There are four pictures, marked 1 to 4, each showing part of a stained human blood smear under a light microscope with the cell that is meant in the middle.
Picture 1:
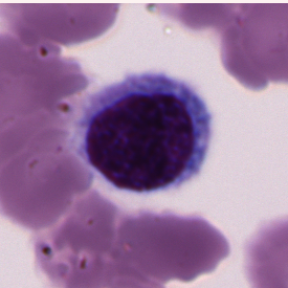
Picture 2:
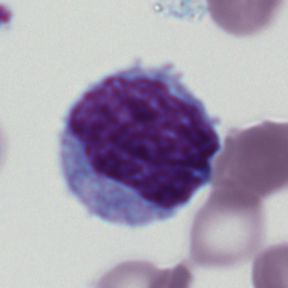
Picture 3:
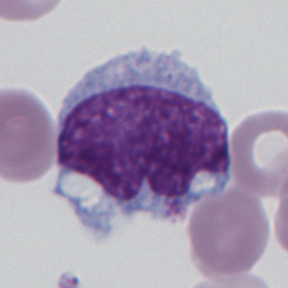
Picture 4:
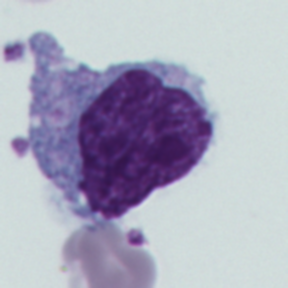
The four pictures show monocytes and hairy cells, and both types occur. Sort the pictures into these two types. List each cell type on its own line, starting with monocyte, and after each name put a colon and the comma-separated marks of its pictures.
monocyte: 2, 3, 4
hairy cell: 1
